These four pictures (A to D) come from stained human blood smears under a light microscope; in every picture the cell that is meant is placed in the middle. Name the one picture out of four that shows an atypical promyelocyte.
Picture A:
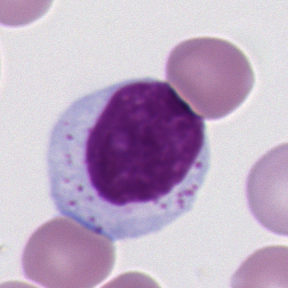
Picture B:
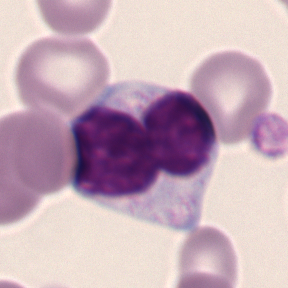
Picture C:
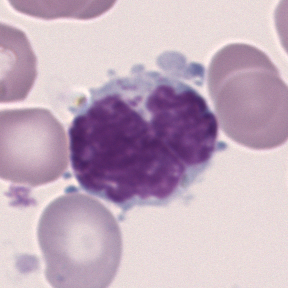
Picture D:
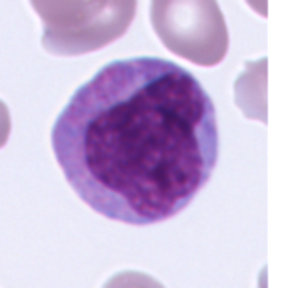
D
